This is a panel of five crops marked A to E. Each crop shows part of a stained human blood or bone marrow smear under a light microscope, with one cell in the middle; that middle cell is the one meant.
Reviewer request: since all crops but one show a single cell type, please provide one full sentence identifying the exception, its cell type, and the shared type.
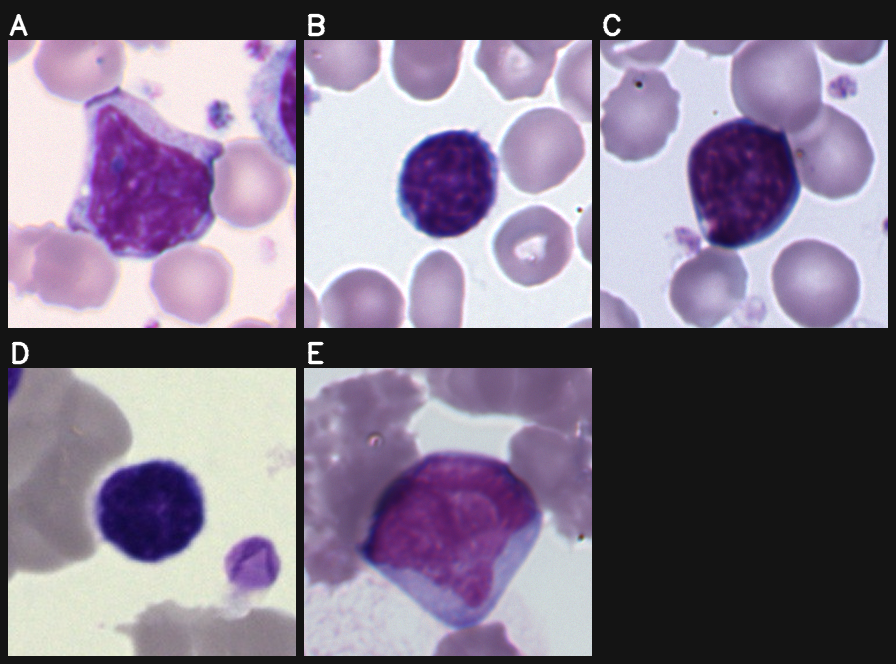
Whereas the other crops all show lymphocytes, crop E shows a blast.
